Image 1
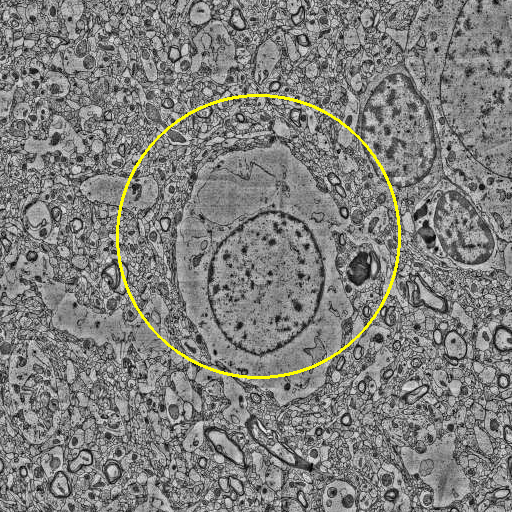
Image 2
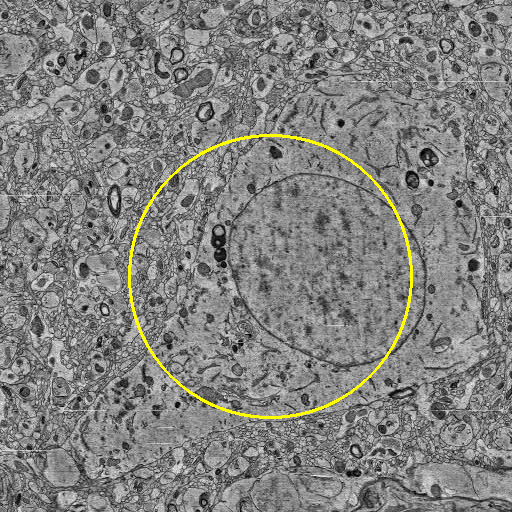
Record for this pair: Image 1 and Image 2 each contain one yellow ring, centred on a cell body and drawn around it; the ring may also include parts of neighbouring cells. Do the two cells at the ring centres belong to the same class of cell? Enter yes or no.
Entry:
no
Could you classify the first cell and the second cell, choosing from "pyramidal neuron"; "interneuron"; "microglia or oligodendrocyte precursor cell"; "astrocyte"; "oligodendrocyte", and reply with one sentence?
The second cell is a pyramidal neuron, while the first is an astrocyte.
